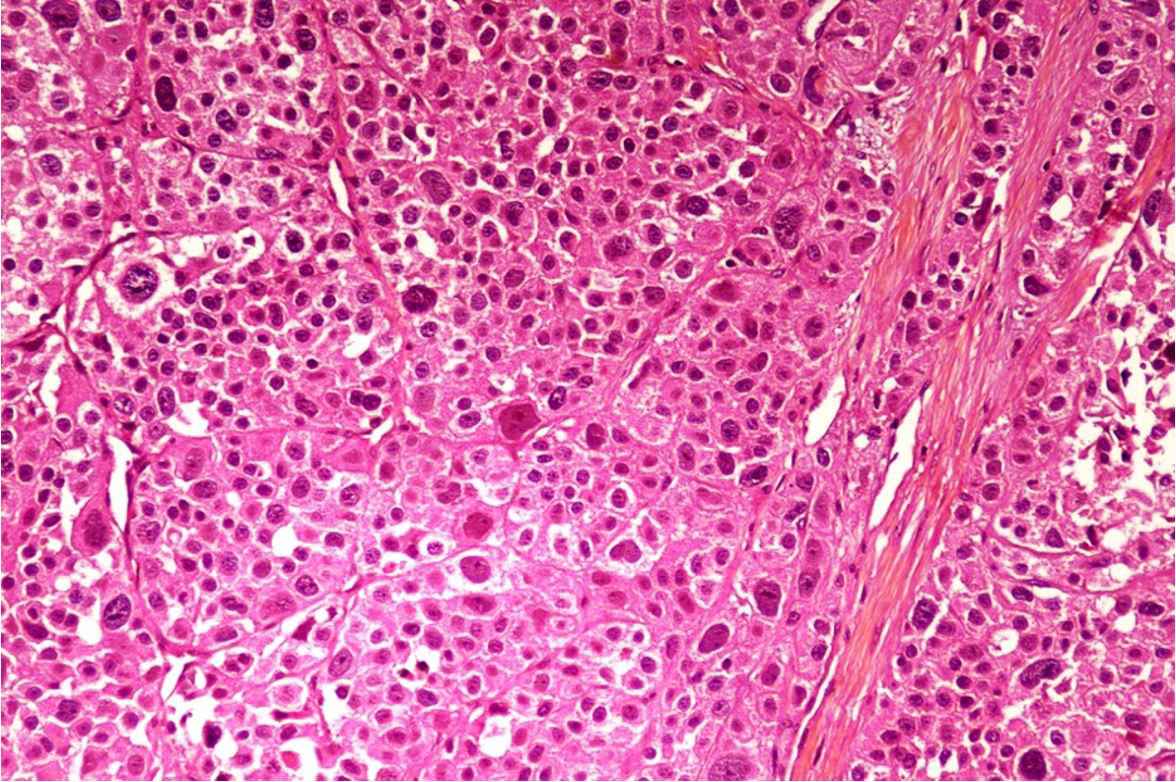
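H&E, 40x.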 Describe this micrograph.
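A highly cellular tumor fills the field as sheets and nests of closely packed cells, divided by thin pink fibrous septa, with a broader band of pink fibrous tissue running diagonally on the right. The tumor cells have round to oval nuclei that vary markedly in size and staining, from small dark nuclei to very large irregular ones. The cytoplasm is moderate in amount and ranges from pink to pale or clear. Scattered bizarre cells with huge, deeply stained nuclei and dense pink cytoplasm stand out among the other cells.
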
